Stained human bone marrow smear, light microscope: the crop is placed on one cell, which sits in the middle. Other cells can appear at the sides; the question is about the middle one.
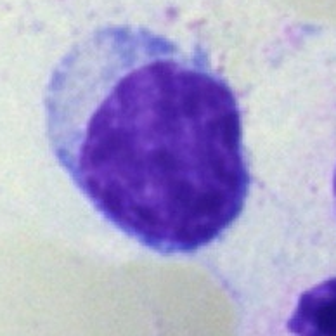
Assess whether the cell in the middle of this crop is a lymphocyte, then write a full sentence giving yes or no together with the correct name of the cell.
Yes, the cell at the centre is designated a lymphocyte.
